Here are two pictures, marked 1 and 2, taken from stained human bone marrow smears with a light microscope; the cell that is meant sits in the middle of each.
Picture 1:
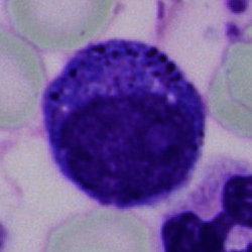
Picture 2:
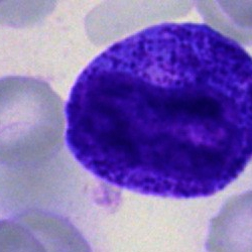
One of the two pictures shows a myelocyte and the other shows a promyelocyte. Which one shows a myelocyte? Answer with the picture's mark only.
2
